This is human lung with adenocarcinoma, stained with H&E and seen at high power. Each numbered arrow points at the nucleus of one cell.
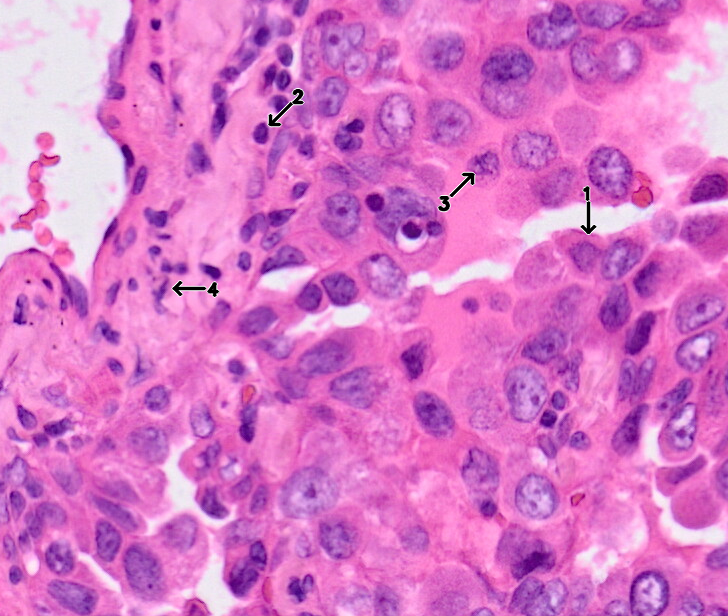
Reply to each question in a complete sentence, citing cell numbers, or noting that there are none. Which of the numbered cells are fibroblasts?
Cell 4 is the single numbered cell that is a fibroblast.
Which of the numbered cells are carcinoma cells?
Into the category of carcinoma cells fall the cells numbered 1 and 3.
